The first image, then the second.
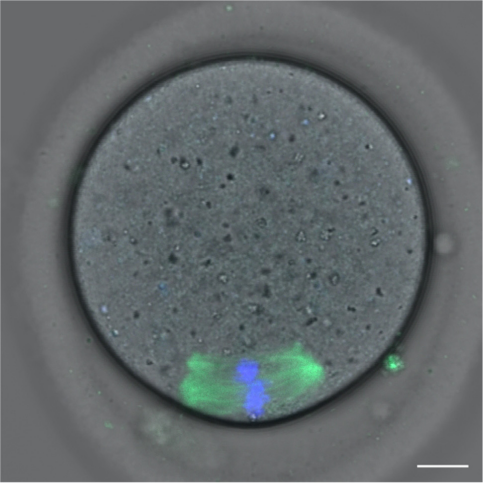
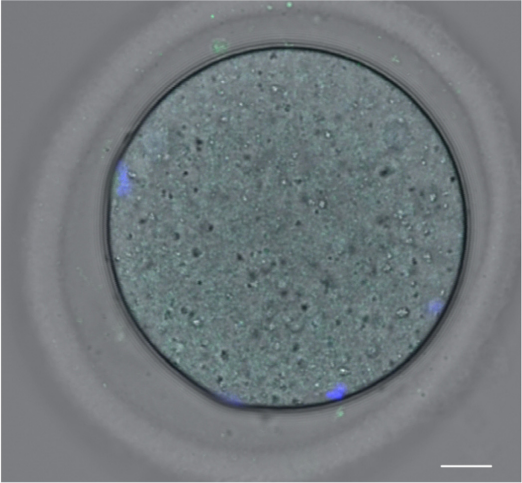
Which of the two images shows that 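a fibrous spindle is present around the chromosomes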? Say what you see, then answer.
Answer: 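The first image. Second image: no green fibres, blue chromatin in scattered patches at the edge. First image: green fibres form a barrel-shaped spindle around a line of blue chromosomes.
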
